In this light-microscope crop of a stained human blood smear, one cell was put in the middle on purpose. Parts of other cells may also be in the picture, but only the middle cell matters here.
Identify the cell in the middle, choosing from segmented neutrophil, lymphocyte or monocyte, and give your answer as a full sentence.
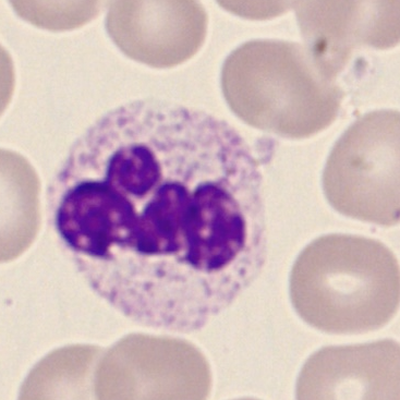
Positioned in the middle of the crop is a segmented neutrophil.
